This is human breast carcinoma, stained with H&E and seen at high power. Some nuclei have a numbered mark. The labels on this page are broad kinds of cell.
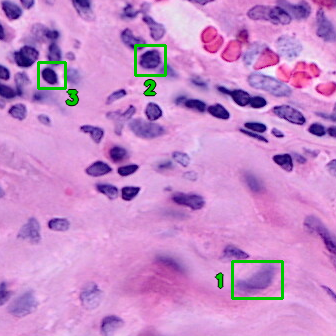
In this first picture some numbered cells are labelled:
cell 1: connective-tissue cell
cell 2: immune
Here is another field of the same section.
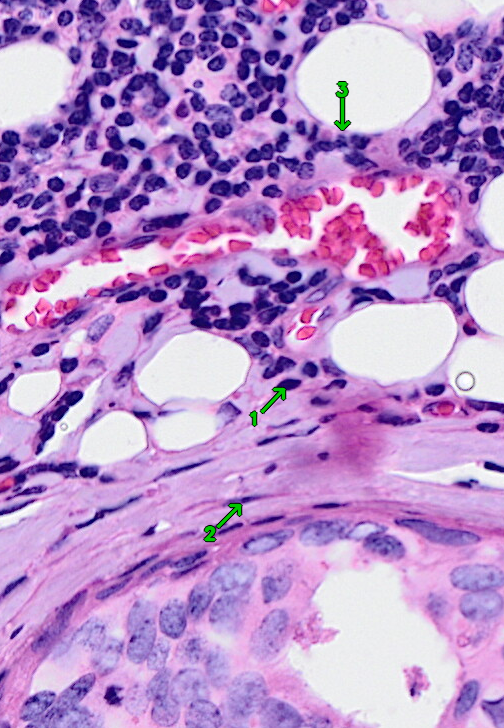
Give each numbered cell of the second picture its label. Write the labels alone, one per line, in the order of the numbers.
immune
connective-tissue cell
immune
